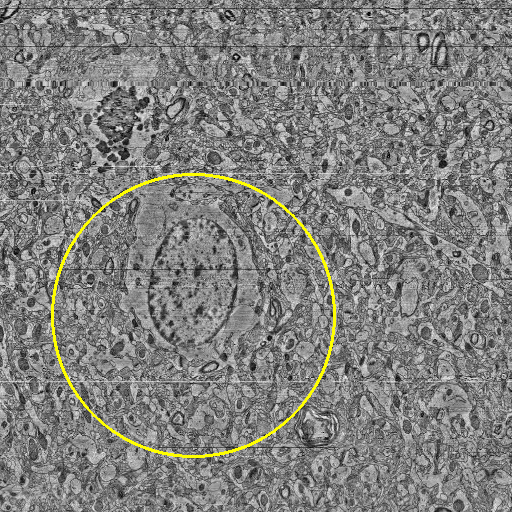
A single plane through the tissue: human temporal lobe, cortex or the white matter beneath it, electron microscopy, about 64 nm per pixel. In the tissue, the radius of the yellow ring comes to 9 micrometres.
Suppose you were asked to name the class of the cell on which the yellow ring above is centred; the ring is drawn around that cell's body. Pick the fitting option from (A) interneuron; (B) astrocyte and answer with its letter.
B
